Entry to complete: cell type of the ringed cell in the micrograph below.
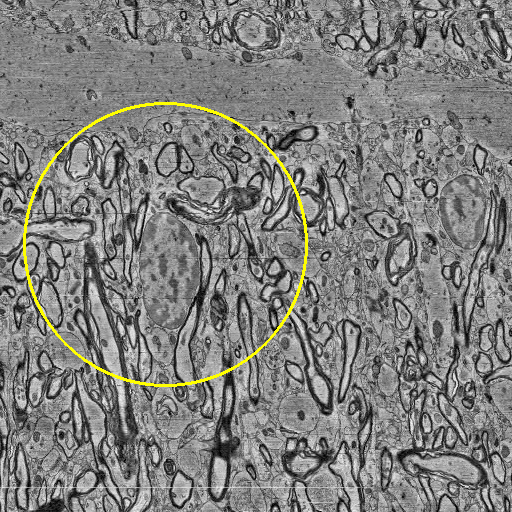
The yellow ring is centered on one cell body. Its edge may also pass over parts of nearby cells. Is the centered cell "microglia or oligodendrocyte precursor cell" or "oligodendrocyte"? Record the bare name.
microglia or oligodendrocyte precursor cell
